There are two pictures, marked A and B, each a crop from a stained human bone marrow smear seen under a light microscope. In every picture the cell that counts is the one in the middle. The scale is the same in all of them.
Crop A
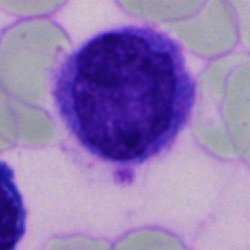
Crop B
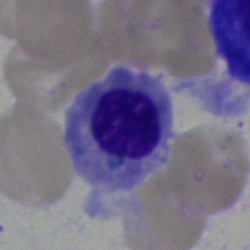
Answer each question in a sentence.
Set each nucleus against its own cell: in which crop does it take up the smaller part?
In crop B the nucleus takes up the smaller part of its cell.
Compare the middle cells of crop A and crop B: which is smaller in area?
The cell in crop B is smaller; the one in crop A has about 1.5 times its area.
